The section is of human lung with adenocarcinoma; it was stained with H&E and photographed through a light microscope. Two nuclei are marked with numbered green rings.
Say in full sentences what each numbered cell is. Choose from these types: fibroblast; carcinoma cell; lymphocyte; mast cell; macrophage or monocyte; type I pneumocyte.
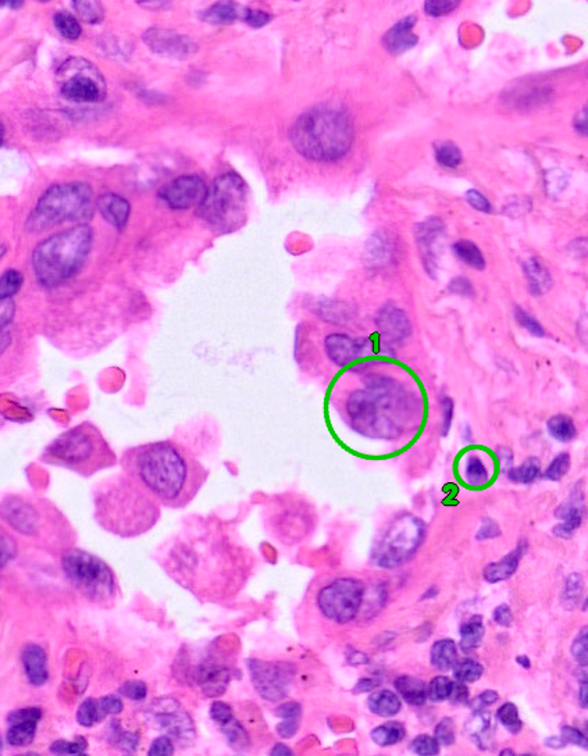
Cell 1 is a carcinoma cell. Cell 2 is a lymphocyte.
